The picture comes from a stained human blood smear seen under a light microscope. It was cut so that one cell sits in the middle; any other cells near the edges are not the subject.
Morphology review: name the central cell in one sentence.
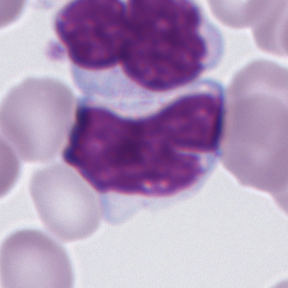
The cell positioned in the middle of the field is a large granular lymphocyte.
